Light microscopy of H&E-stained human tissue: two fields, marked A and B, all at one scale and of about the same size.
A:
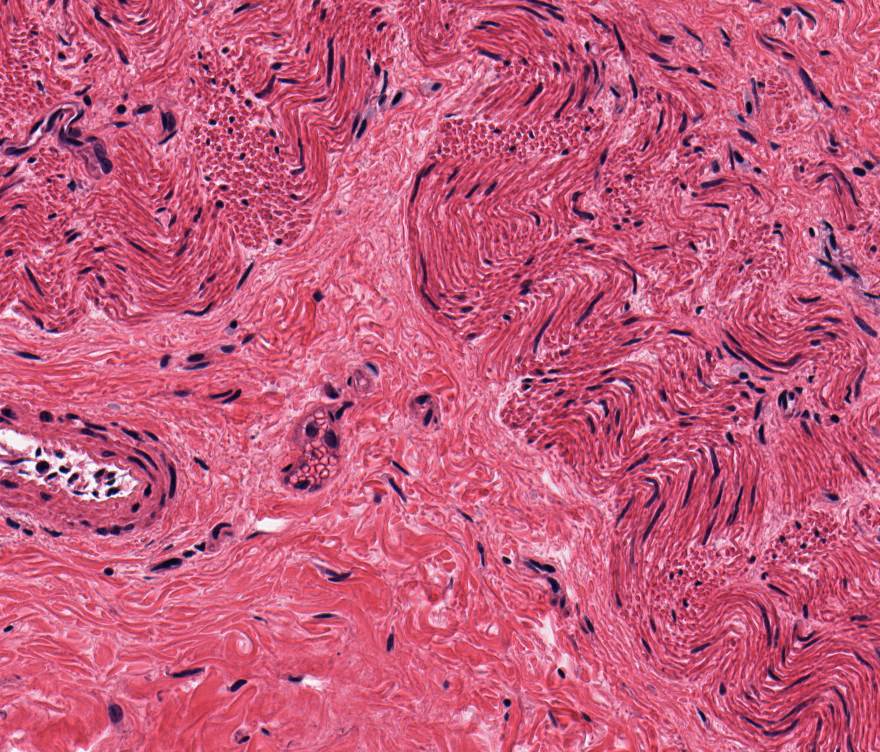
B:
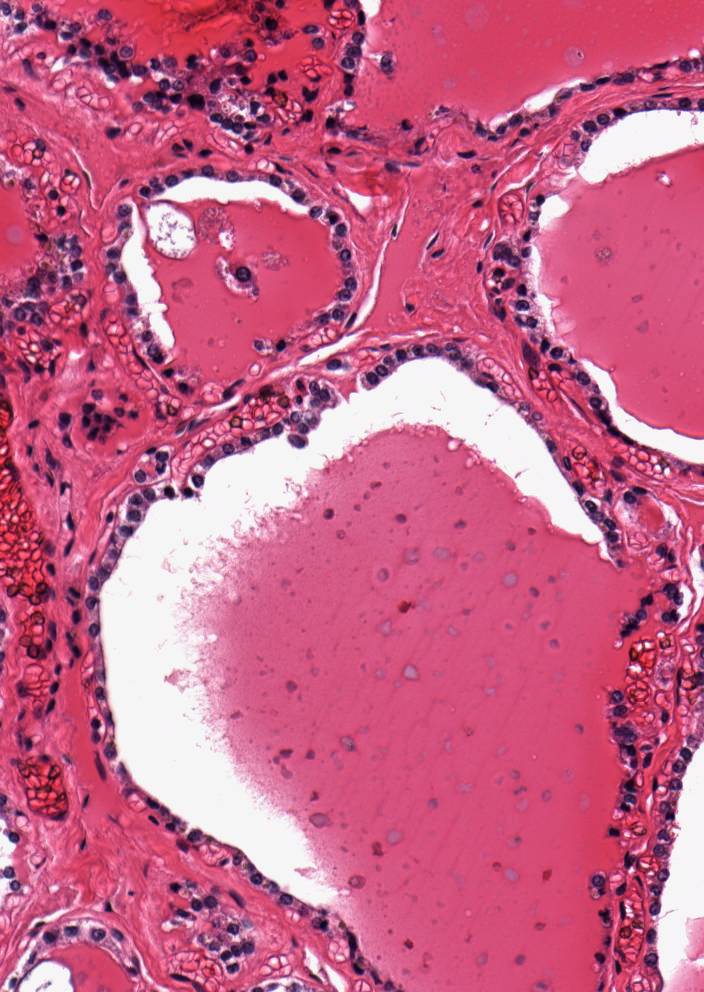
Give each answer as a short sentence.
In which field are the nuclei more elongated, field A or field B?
The nuclei are more elongated in field A.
